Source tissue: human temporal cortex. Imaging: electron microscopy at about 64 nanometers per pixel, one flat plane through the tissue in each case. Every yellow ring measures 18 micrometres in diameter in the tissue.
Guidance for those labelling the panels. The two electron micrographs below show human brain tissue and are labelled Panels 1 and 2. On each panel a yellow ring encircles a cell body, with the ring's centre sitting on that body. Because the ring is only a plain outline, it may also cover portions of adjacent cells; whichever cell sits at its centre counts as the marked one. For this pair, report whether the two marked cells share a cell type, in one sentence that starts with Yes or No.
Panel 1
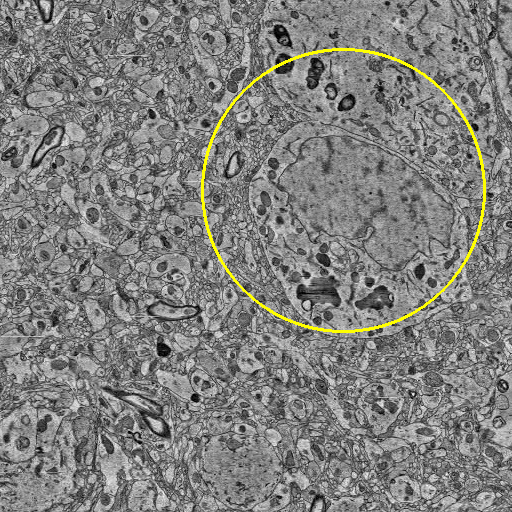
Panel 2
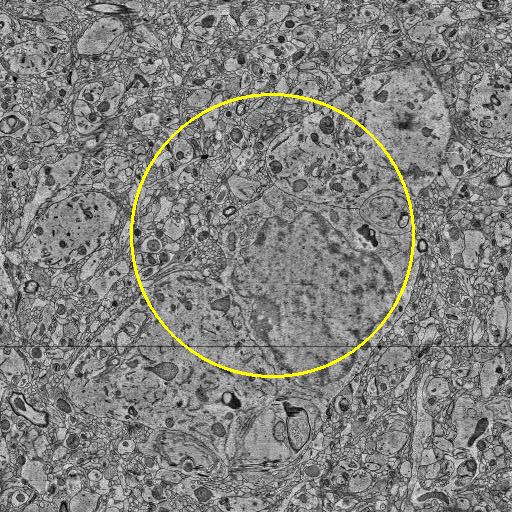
Yes, in Panel 1 and Panel 2 the marked cells at the ring centres share one type.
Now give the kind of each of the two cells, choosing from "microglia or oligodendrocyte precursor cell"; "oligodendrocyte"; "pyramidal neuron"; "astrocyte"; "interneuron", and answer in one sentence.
Each cell, in the first picture and the second, is an interneuron.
